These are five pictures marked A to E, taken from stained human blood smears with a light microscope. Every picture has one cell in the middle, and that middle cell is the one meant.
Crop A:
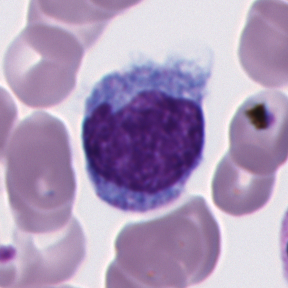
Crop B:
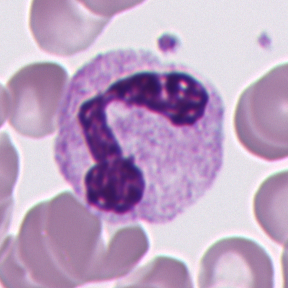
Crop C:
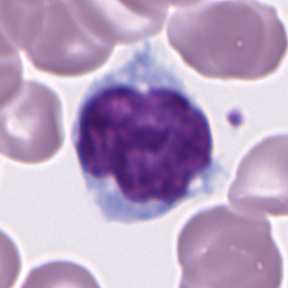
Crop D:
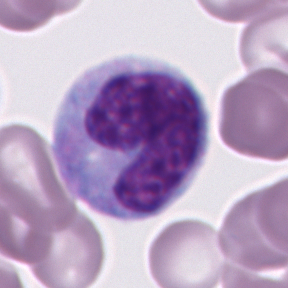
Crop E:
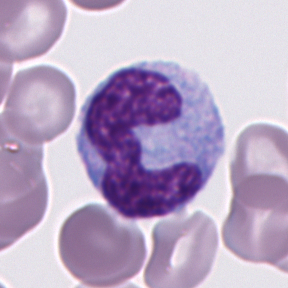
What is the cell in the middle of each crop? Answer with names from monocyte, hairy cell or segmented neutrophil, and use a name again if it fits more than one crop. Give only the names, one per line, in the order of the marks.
monocyte
segmented neutrophil
monocyte
monocyte
monocyte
